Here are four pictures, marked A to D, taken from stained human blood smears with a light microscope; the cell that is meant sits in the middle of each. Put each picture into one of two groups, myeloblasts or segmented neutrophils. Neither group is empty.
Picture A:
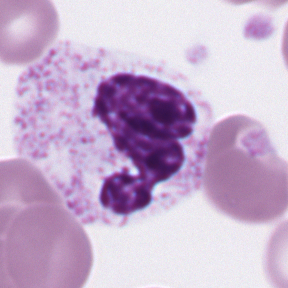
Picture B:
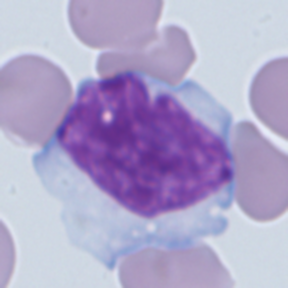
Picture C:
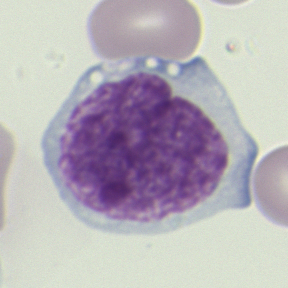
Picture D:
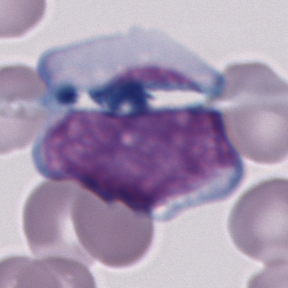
A: segmented neutrophil
B: myeloblast
C: myeloblast
D: myeloblast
